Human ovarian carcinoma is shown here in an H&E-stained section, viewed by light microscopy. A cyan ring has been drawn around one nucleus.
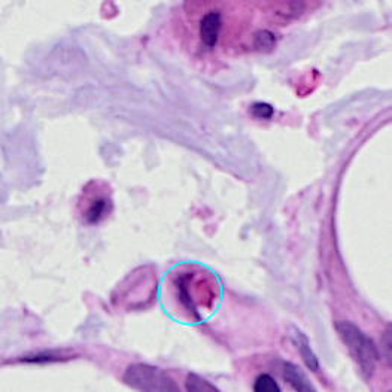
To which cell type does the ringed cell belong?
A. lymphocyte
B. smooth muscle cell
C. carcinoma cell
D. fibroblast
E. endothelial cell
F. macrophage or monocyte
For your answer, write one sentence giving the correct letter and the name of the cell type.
Here the correct option is E, since the ringed cell is an endothelial cell.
